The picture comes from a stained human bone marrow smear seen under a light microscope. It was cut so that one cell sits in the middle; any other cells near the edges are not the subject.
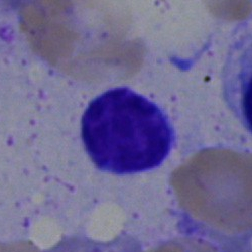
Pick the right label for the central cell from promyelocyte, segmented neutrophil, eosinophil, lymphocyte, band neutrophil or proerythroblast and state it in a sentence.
The cell of interest, in the center, is a lymphocyte.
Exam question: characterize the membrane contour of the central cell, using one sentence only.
Smooth all around, the outline has no projections to report.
